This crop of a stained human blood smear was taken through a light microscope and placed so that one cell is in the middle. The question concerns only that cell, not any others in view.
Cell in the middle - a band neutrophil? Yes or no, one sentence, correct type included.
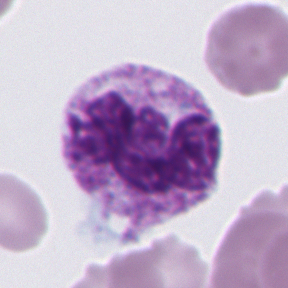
No, a band neutrophil is not what the central cell is; it is a segmented neutrophil.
